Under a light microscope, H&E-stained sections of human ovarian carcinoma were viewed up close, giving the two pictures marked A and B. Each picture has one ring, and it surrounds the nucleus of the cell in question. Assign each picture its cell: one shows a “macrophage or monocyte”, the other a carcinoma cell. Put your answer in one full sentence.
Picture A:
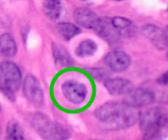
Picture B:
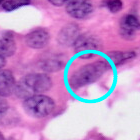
The cell in picture A is a “macrophage or monocyte”, and the one in picture B is a carcinoma cell.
